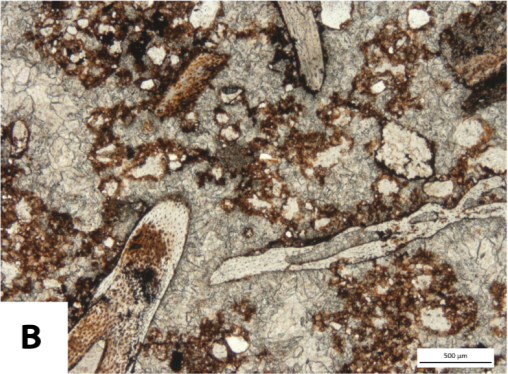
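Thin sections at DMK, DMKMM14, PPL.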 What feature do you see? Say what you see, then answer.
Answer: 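Several elongated, smooth-edged pale-to-brown fragments lie in the section. Some fragments are speckled with tiny dark dots.
Hence: small bone fragments.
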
